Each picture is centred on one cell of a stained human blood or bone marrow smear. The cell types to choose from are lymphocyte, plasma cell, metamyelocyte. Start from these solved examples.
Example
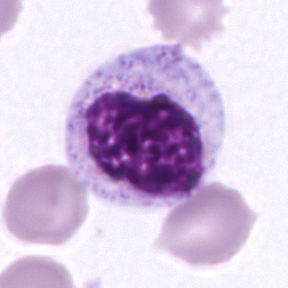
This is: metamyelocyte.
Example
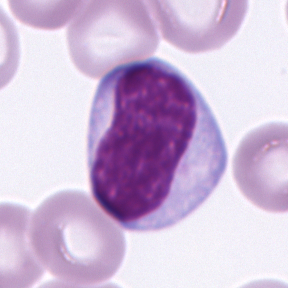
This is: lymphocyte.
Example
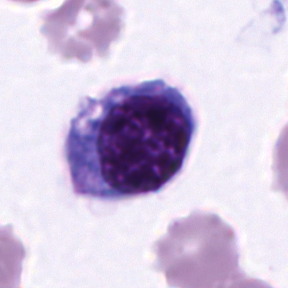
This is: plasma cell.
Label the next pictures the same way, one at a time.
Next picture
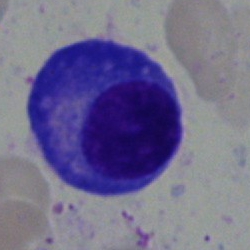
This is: plasma cell.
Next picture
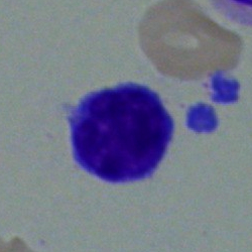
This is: lymphocyte.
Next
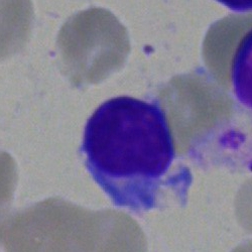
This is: lymphocyte.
